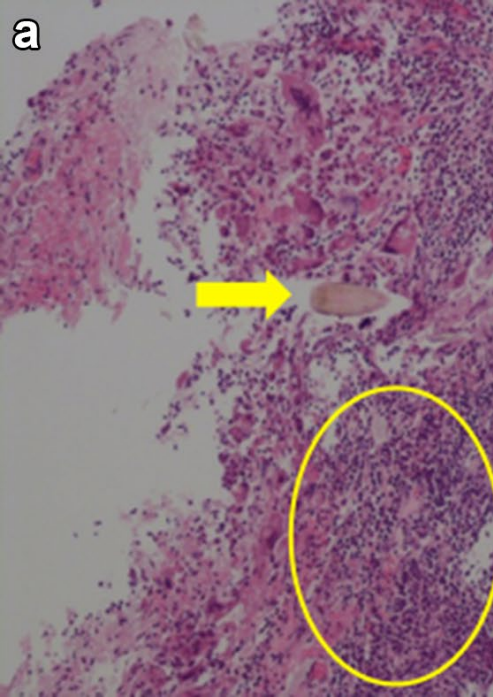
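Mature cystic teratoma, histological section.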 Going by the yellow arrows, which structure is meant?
Hair-shaft tissue.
